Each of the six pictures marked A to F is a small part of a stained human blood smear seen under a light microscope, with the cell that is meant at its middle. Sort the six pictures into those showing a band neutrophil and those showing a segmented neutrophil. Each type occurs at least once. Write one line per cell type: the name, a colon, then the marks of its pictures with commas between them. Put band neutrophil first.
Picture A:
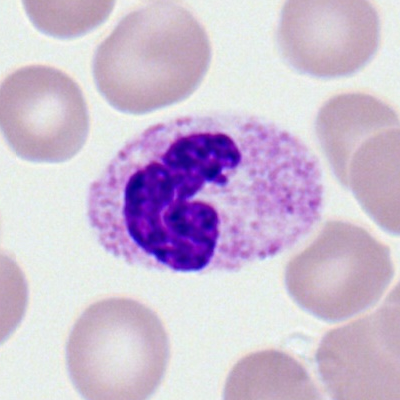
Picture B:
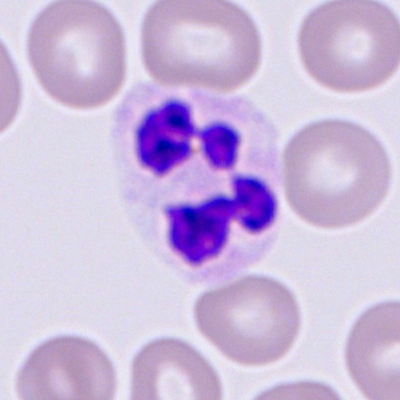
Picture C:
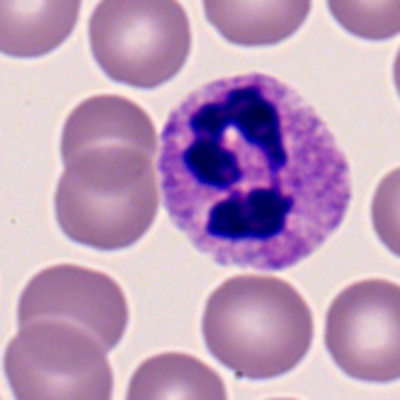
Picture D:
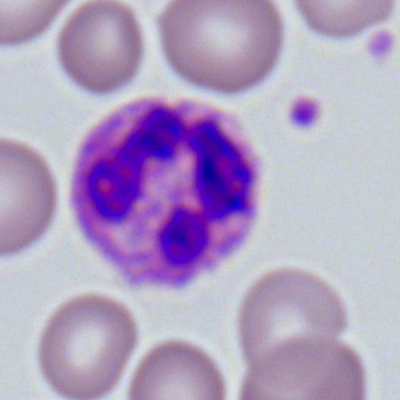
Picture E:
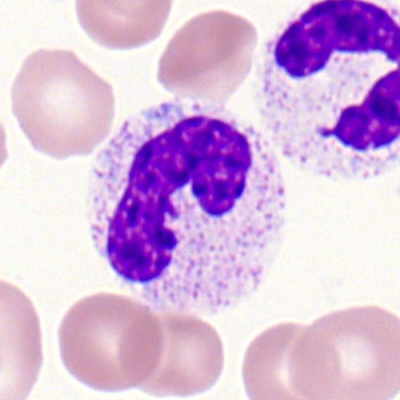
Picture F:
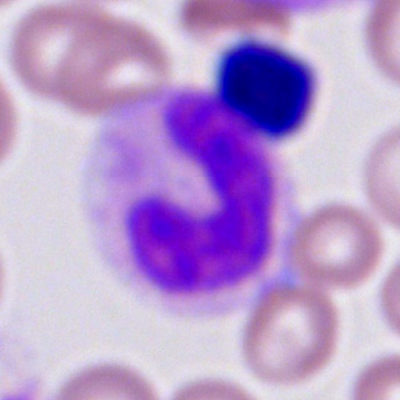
band neutrophil: A, E, F
segmented neutrophil: B, C, D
